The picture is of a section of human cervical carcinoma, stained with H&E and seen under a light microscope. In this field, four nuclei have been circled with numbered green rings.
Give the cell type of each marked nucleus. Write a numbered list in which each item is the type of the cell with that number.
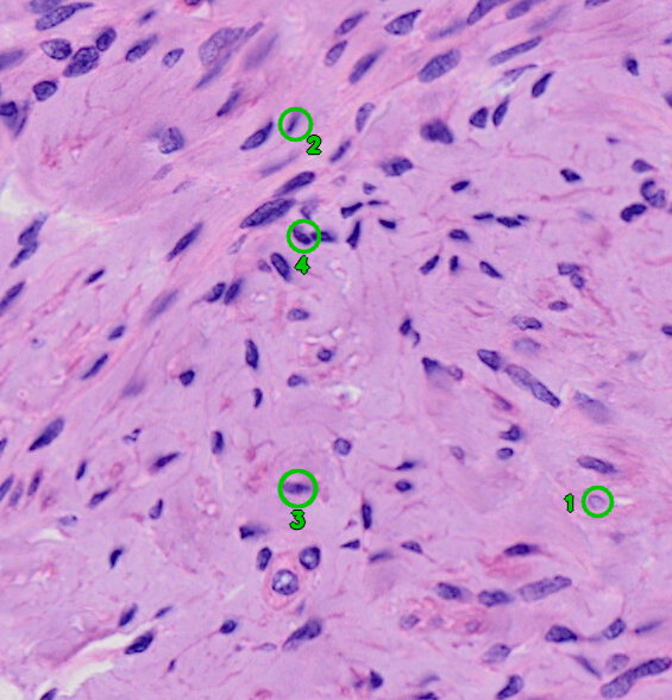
1. smooth muscle cell
2. fibroblast
3. fibroblast
4. fibroblast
